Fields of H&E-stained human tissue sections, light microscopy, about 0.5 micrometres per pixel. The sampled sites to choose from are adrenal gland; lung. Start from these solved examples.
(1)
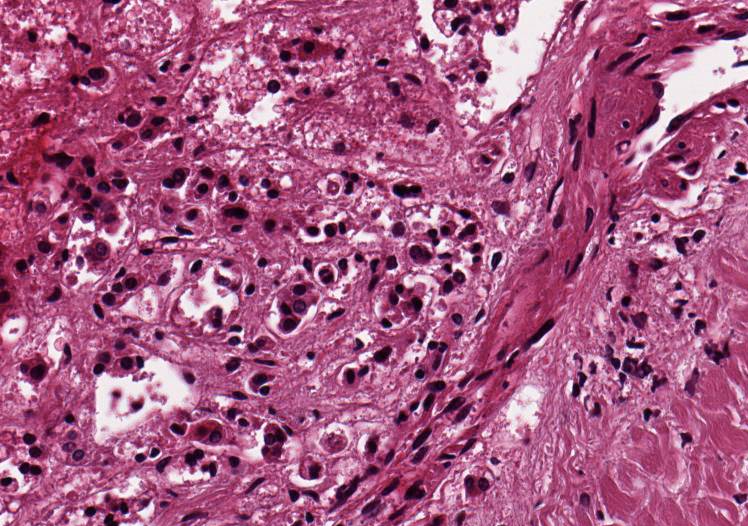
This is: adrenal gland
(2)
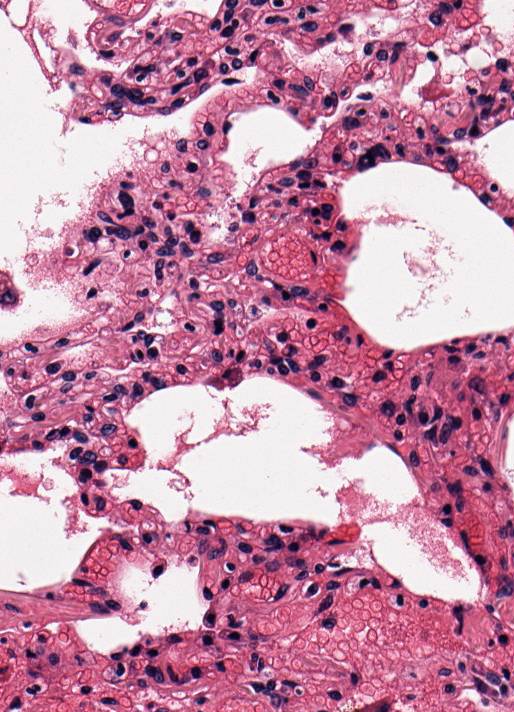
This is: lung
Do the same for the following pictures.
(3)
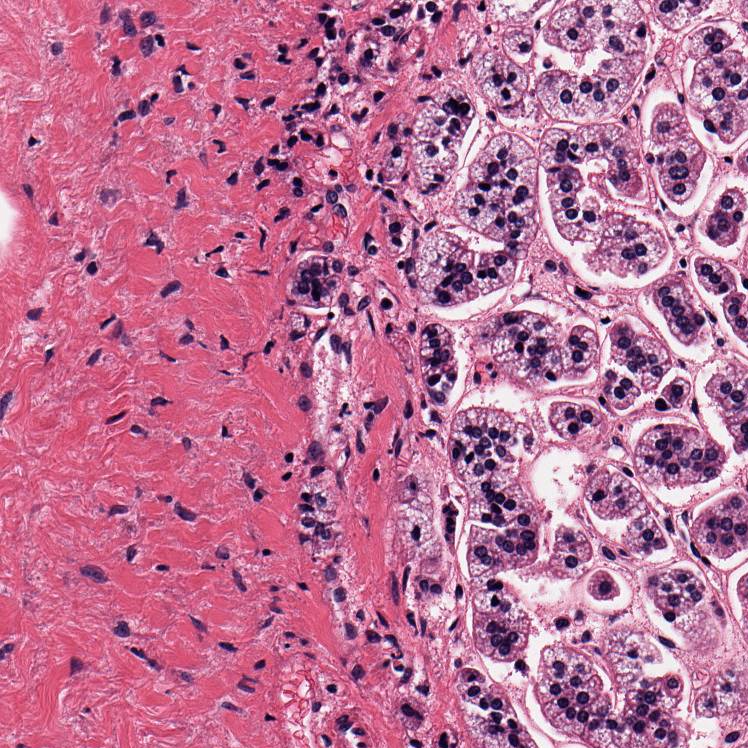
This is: adrenal gland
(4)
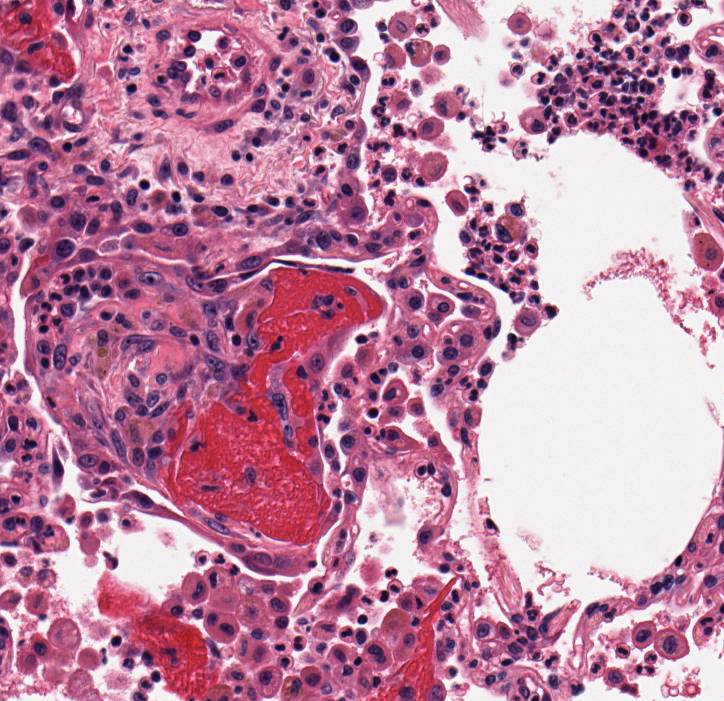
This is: lung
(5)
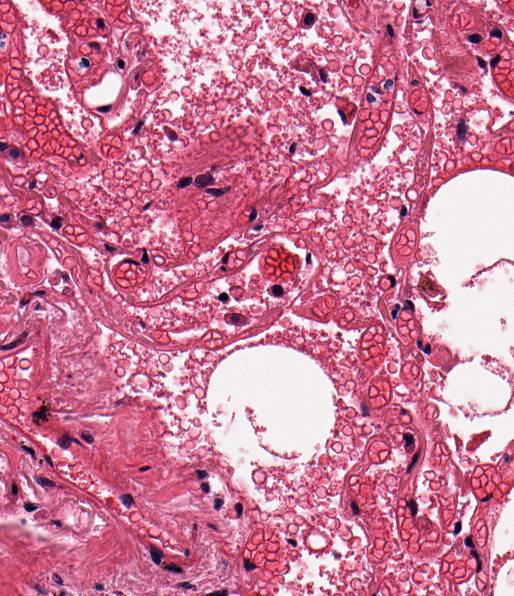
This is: lung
